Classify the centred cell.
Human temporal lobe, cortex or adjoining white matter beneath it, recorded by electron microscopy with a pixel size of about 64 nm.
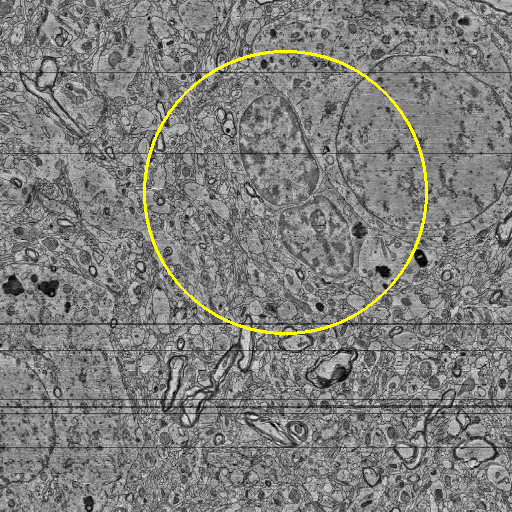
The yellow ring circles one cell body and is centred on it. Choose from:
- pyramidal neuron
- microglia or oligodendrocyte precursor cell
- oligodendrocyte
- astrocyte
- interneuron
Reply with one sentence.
The ring is centred on an oligodendrocyte.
